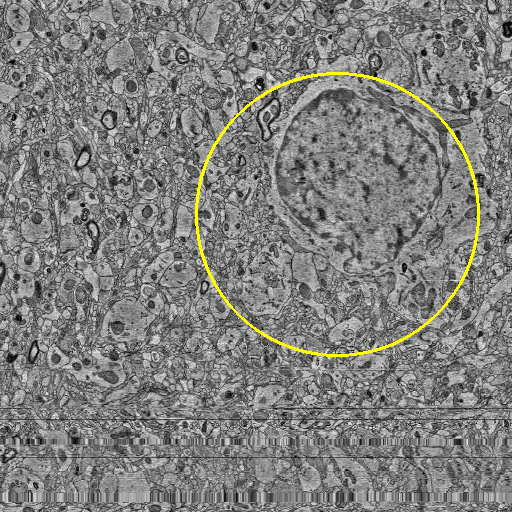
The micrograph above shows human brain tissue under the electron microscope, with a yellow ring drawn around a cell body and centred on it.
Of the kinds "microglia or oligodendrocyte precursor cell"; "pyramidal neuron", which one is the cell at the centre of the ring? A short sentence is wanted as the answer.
The one at the centre of the ring is a microglial cell or oligodendrocyte precursor cell.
